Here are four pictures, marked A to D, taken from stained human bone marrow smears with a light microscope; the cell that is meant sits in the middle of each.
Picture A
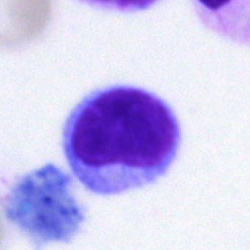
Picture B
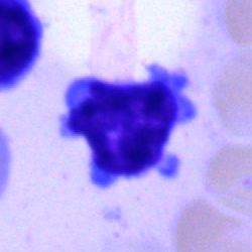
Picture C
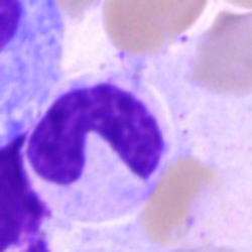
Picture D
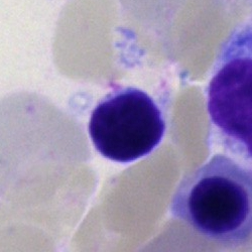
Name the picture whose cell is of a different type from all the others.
C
